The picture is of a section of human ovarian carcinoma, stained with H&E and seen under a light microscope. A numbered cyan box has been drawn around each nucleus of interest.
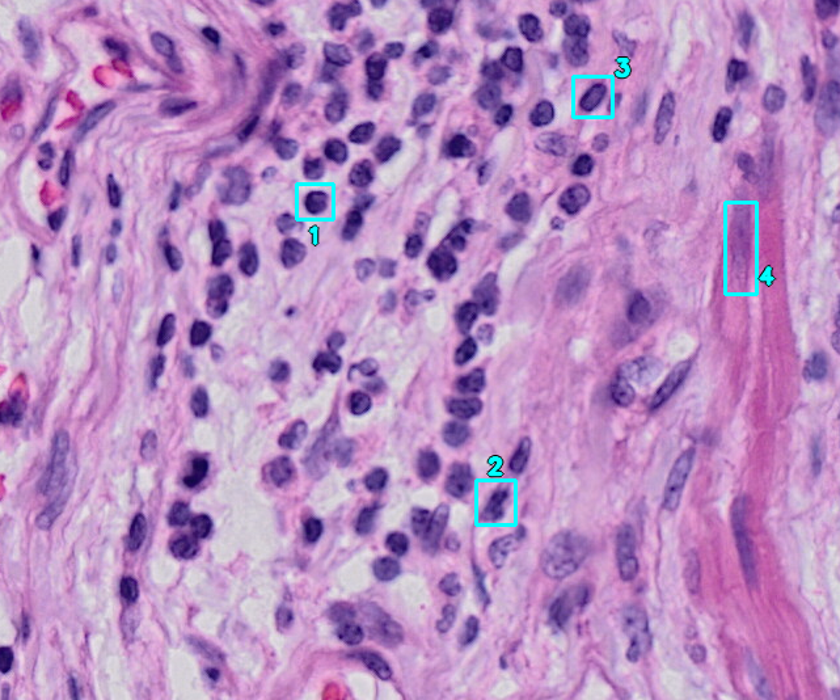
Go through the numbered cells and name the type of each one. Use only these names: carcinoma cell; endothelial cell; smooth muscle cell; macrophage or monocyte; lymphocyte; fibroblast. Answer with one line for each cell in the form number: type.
1: lymphocyte
2: lymphocyte
3: lymphocyte
4: smooth muscle cell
